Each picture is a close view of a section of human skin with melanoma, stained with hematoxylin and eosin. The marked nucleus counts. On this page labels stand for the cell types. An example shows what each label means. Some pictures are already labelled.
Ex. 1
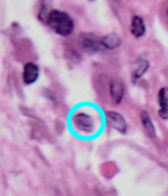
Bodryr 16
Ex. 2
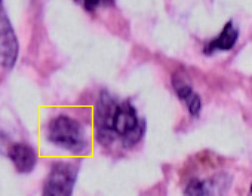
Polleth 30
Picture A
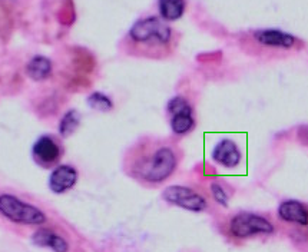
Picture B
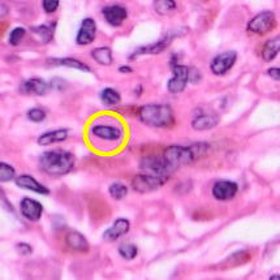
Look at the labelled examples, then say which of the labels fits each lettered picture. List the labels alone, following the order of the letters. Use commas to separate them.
Bodryr 16, Bodryr 16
